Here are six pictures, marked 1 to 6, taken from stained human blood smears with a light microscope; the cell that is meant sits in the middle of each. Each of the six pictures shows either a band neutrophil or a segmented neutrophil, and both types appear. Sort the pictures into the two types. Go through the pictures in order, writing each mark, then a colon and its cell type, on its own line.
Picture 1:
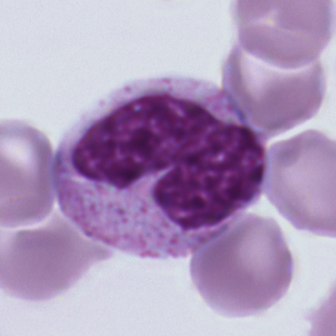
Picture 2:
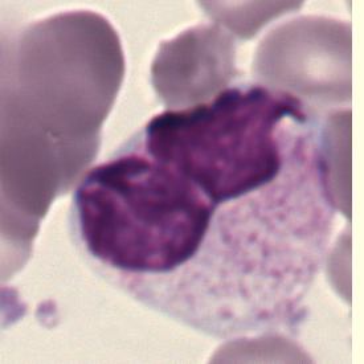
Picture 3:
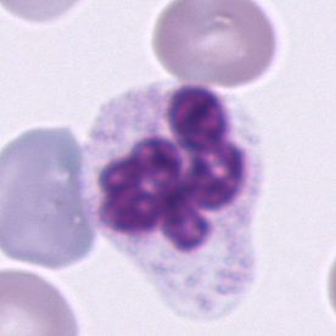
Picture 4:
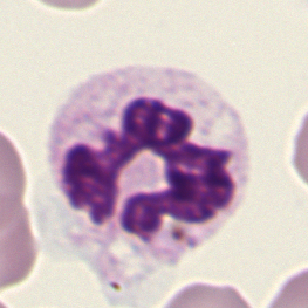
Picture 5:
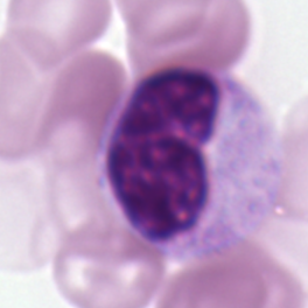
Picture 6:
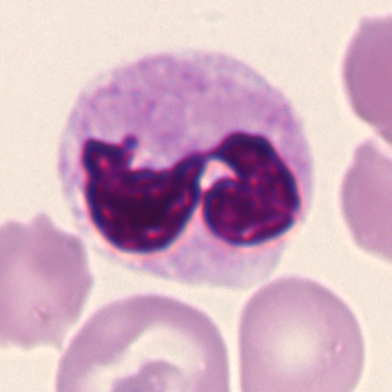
1: band neutrophil
2: segmented neutrophil
3: segmented neutrophil
4: segmented neutrophil
5: band neutrophil
6: segmented neutrophil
